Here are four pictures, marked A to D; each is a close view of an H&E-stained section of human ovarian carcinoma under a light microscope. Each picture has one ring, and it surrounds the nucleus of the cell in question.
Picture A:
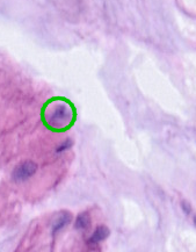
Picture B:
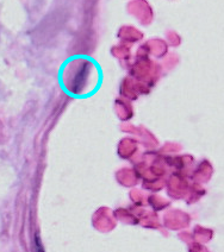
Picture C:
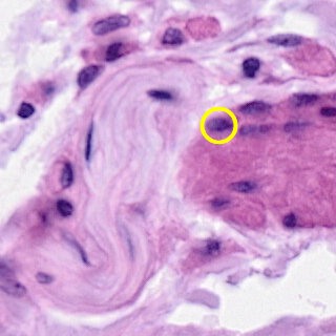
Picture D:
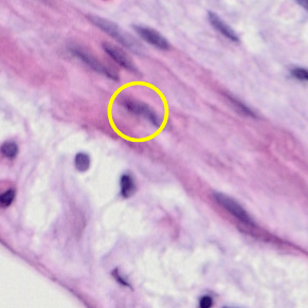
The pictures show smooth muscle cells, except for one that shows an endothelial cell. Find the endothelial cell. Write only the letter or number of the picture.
B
